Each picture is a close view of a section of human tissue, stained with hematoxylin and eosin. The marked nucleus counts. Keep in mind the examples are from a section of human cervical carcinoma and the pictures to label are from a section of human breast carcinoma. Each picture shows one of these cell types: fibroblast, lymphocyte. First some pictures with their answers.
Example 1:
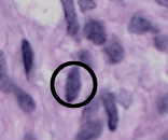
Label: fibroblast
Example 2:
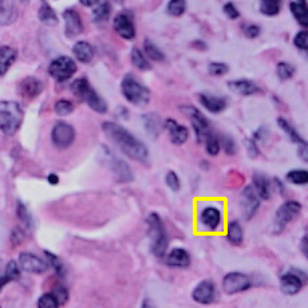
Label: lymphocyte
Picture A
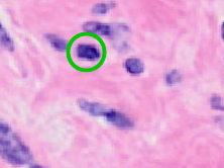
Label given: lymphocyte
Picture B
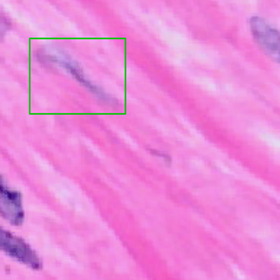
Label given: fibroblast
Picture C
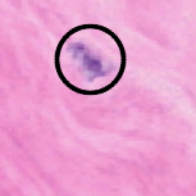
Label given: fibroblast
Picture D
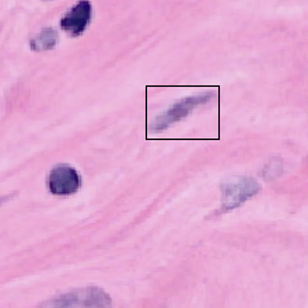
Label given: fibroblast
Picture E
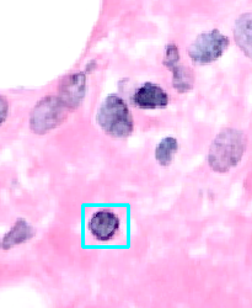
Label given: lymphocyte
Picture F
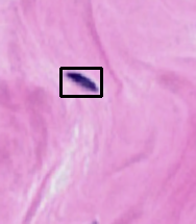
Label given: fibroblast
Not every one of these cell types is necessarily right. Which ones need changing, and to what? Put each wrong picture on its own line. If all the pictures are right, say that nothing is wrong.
No label is wrong.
